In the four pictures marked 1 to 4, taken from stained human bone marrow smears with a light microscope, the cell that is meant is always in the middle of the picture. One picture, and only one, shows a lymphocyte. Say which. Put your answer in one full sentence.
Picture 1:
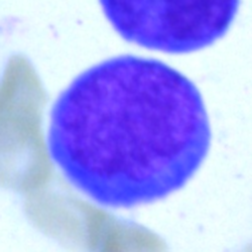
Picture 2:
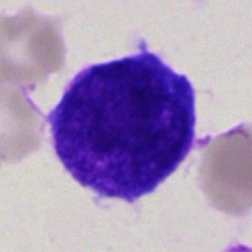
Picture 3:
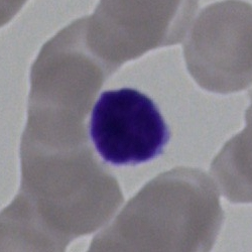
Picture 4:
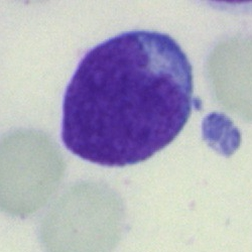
Picture 3 shows the lymphocyte.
